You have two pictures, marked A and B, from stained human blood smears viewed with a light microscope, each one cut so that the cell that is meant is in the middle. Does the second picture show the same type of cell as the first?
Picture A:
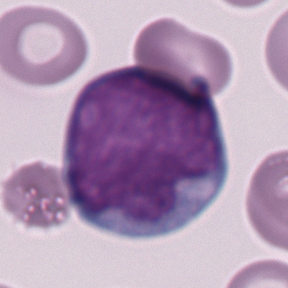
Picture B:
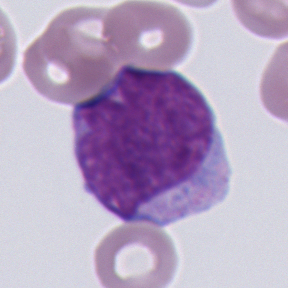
no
